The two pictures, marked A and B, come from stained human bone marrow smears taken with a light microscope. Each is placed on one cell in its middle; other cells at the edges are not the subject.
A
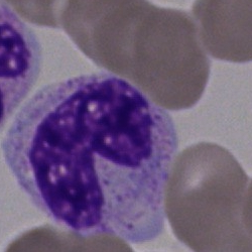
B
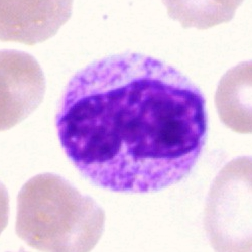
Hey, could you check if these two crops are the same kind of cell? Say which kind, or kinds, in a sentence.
No, record crop A as a band neutrophil and crop B as a metamyelocyte.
